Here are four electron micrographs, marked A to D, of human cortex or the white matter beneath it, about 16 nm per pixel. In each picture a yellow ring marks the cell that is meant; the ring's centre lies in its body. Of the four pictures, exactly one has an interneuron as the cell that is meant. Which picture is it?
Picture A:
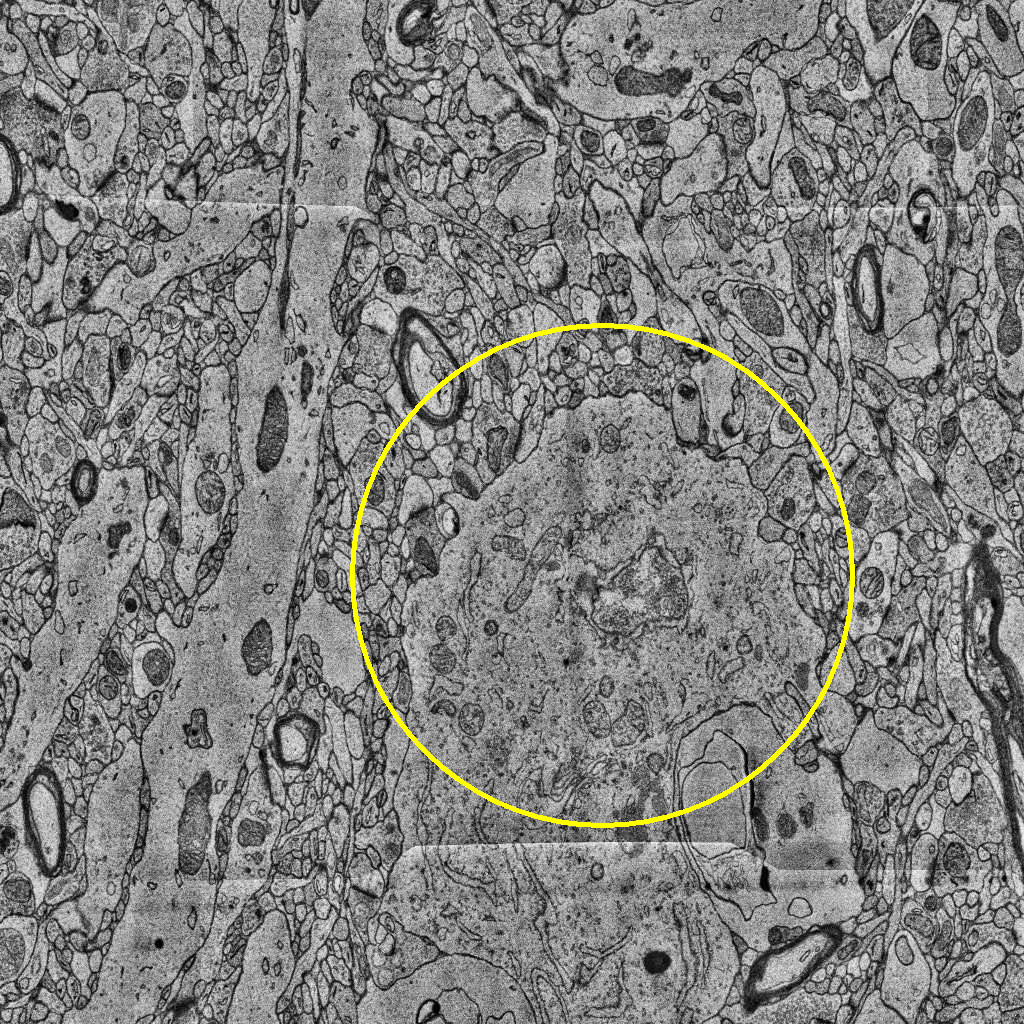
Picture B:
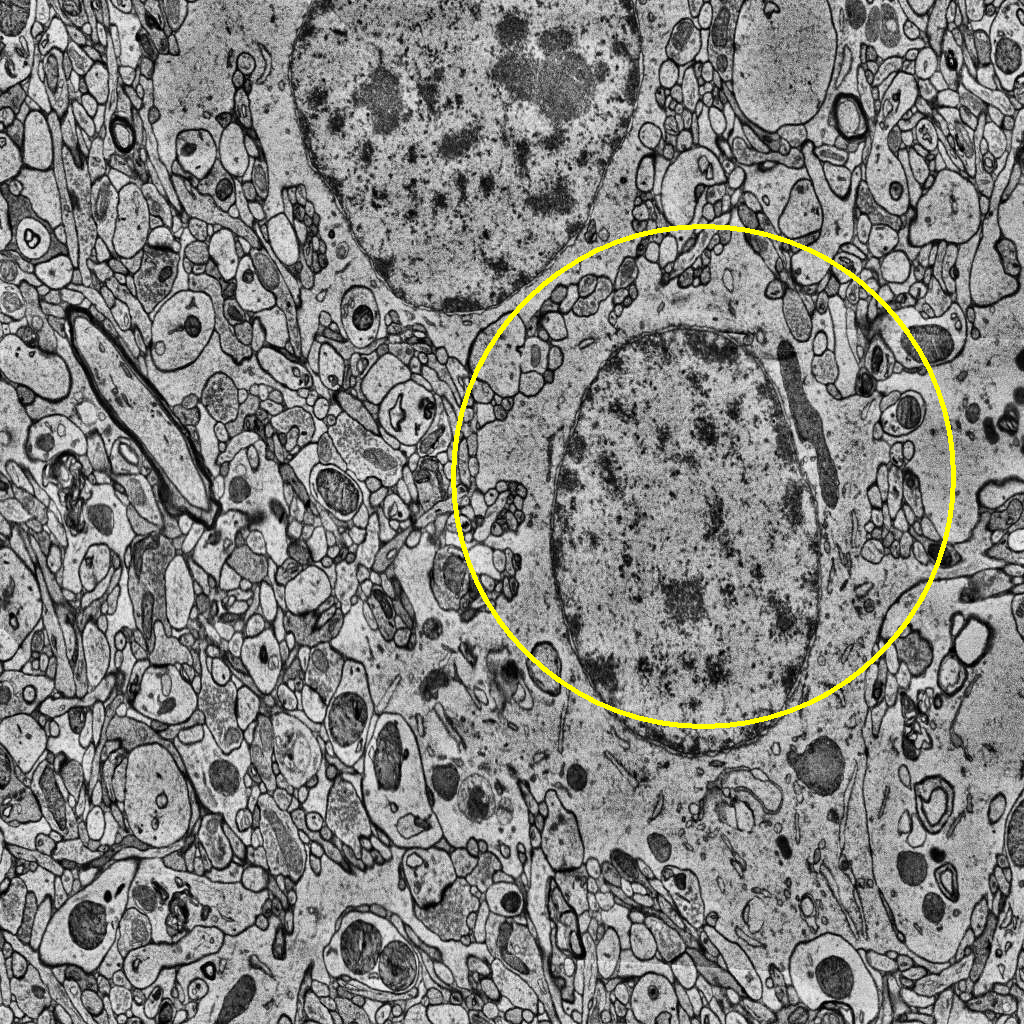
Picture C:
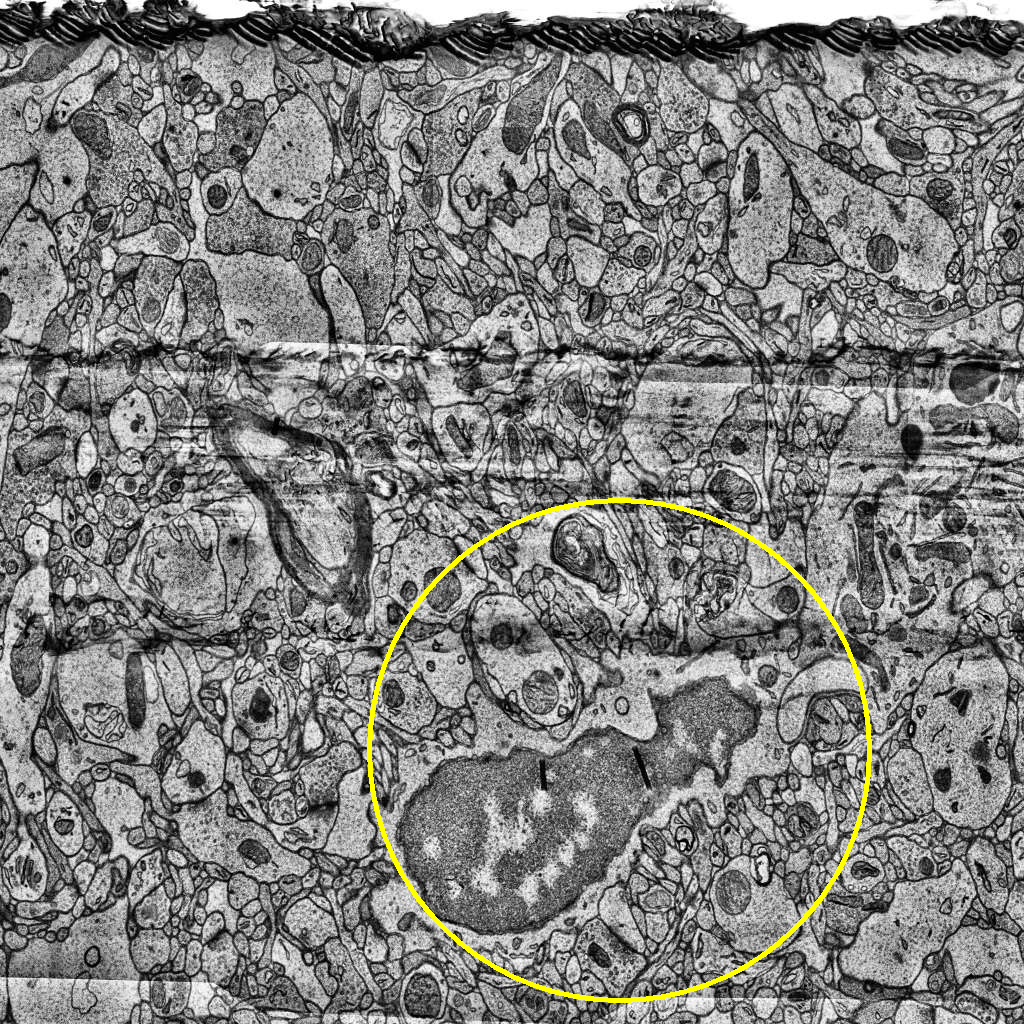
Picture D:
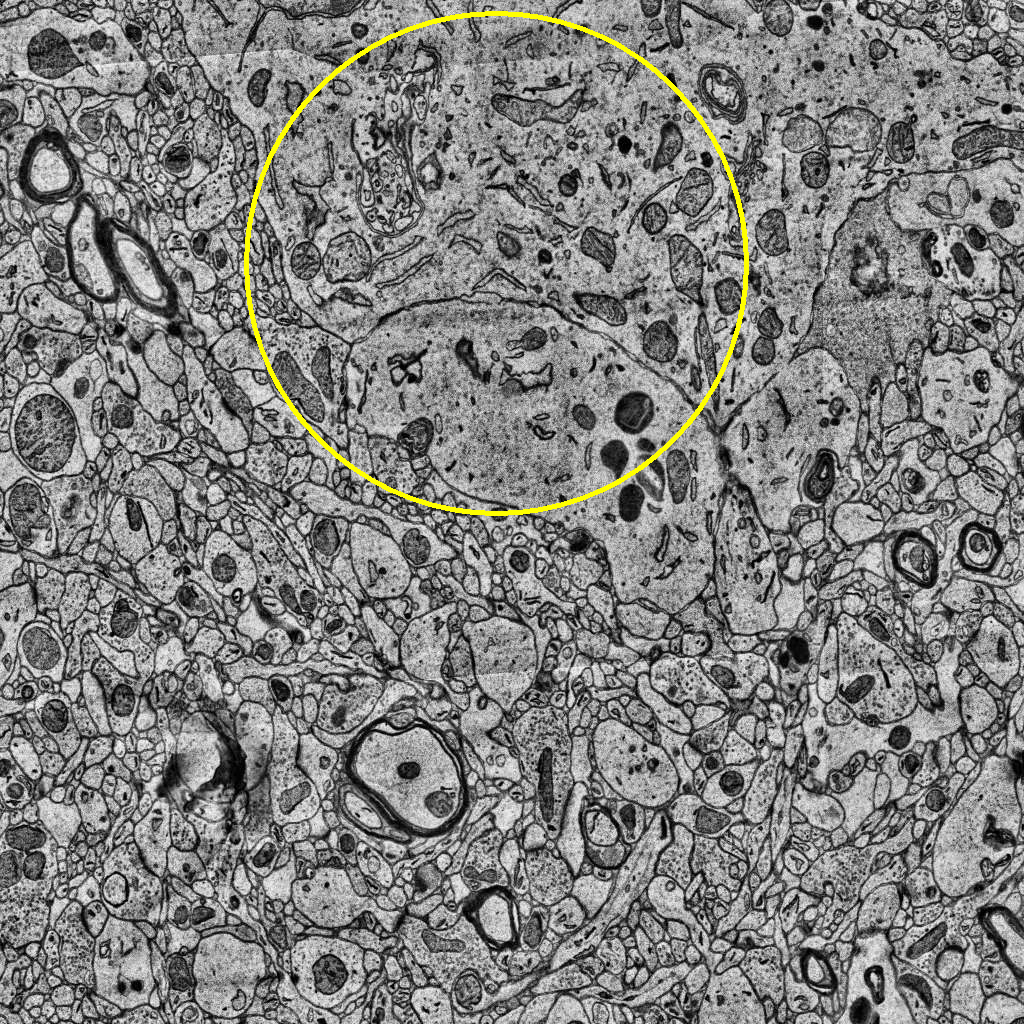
It is picture A that shows the interneuron.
